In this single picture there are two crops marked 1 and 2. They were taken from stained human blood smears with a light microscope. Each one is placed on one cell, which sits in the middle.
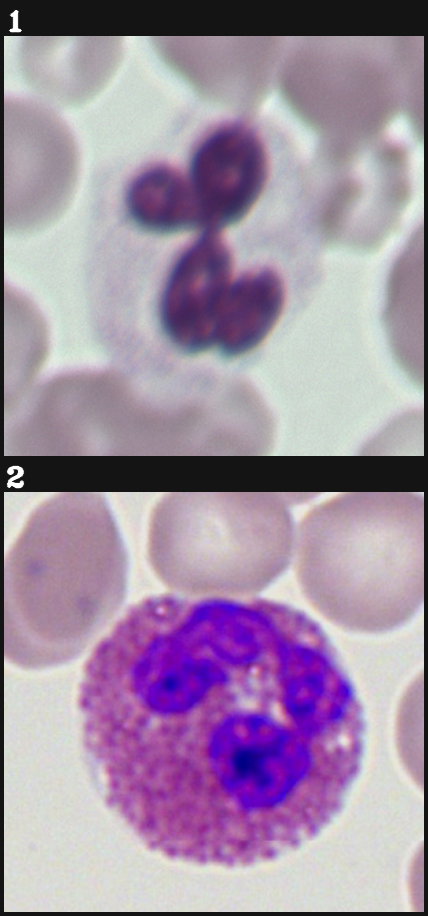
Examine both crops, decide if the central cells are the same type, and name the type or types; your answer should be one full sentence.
No, shown in crop 1 is a segmented neutrophil, and shown in crop 2 is an eosinophil.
